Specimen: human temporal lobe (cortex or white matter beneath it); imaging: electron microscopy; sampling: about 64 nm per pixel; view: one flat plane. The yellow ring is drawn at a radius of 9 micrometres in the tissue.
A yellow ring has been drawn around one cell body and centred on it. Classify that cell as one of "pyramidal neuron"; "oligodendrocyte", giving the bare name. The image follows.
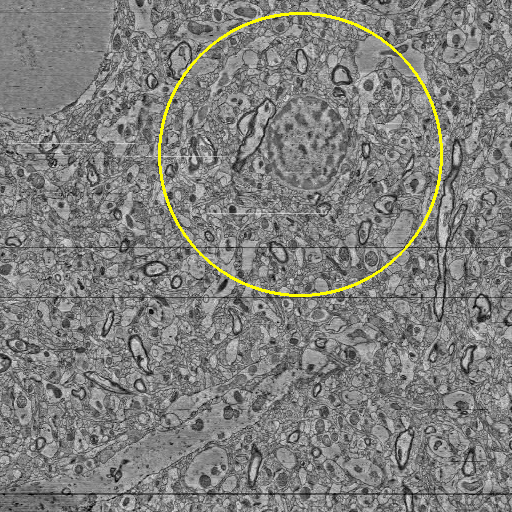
oligodendrocyte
